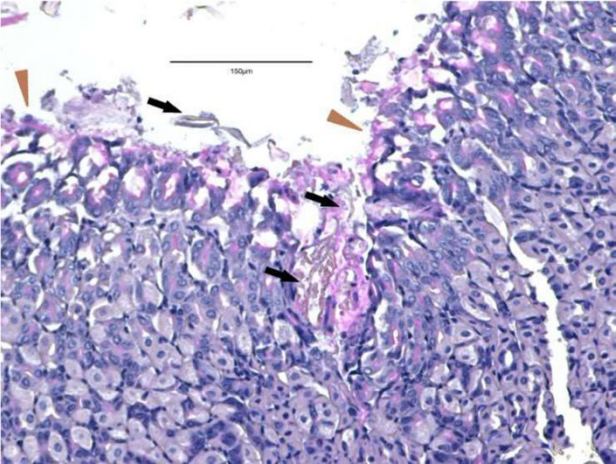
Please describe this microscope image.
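This is gastric mucosa, with glands whose cells have pale cytoplasm and dark blue nuclei. Magenta staining is strongest in the cells along the luminal surface and around the edges of a gap that cuts down into the mucosa. Fragments of tissue and debris lie in the opening above the broken surface.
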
